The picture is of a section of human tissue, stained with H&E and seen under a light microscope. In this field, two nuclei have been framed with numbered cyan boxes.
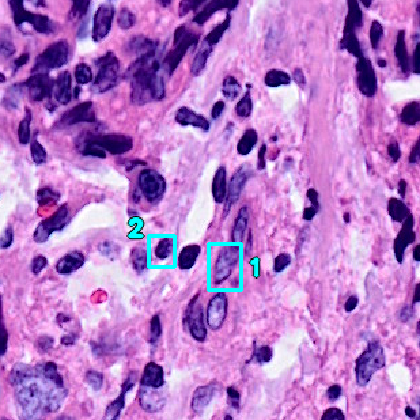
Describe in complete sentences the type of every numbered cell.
Cell 1 is an endothelial cell and cell 2 is a lymphocyte.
